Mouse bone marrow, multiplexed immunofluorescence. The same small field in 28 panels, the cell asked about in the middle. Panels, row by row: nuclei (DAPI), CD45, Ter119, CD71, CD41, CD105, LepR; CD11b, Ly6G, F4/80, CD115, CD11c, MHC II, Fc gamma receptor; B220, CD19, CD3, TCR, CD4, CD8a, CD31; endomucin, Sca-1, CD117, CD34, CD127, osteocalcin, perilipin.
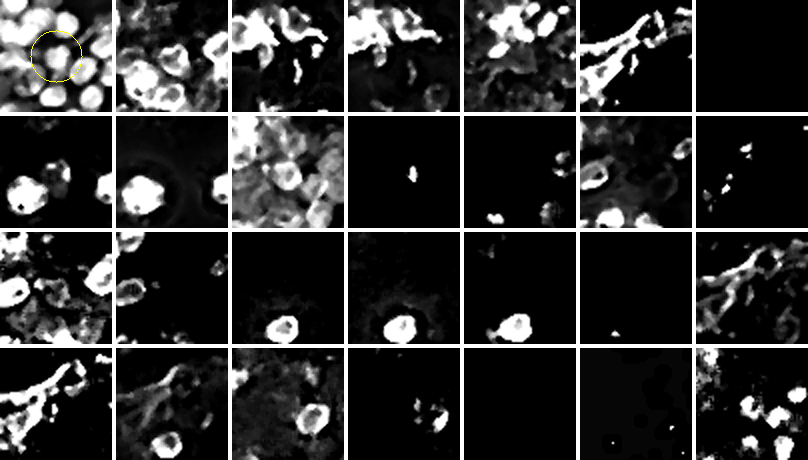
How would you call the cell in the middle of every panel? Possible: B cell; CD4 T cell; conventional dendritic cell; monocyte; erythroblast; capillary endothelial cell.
I would call it a monocyte.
